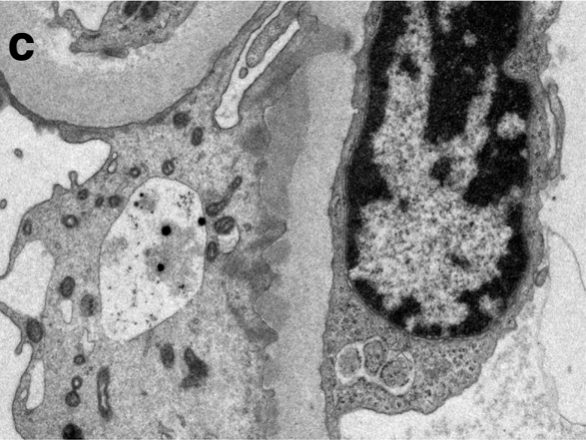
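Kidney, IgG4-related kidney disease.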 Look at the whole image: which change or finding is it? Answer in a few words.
Subepithelial electron dense deposits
